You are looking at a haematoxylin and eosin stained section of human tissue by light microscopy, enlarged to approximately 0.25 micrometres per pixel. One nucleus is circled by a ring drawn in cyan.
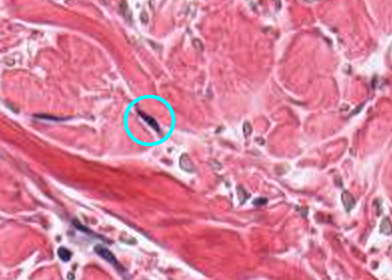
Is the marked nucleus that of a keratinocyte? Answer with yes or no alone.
no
